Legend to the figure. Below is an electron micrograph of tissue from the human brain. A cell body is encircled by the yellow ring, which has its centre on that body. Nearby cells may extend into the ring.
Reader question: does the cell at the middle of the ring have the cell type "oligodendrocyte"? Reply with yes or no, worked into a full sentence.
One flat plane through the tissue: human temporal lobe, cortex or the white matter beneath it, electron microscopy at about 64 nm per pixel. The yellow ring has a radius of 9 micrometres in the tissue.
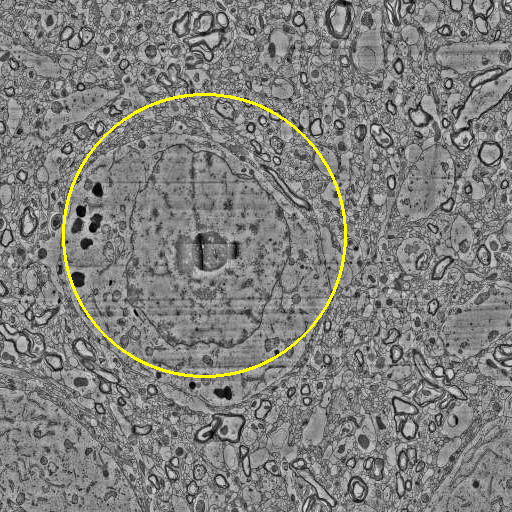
No, the cell sitting at the middle of the ring in the picture has another cell type.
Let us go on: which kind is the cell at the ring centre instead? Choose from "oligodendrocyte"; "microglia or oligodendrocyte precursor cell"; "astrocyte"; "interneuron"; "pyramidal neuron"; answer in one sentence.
The ringed cell in this picture is, instead, a pyramidal neuron.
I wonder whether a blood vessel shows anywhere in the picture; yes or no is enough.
No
